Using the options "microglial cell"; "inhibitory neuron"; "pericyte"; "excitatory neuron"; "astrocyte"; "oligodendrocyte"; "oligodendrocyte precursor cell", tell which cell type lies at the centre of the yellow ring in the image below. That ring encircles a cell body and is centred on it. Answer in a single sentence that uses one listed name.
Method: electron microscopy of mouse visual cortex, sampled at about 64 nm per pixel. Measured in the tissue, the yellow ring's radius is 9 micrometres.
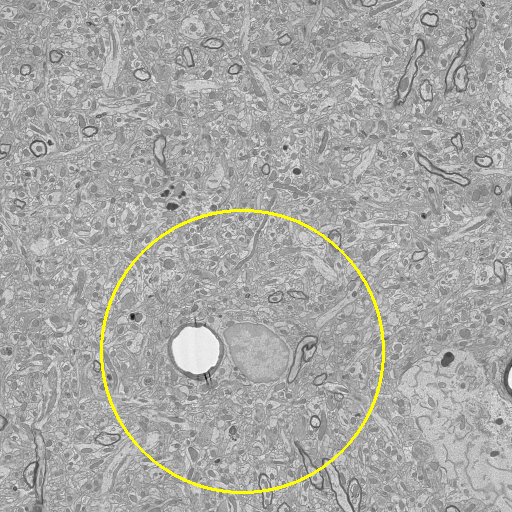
At the centre of the yellow ring lies the body of a microglial cell.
